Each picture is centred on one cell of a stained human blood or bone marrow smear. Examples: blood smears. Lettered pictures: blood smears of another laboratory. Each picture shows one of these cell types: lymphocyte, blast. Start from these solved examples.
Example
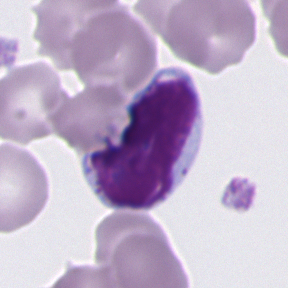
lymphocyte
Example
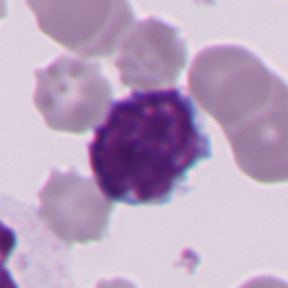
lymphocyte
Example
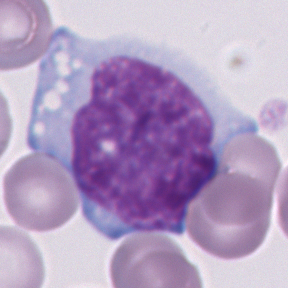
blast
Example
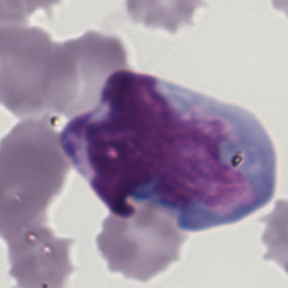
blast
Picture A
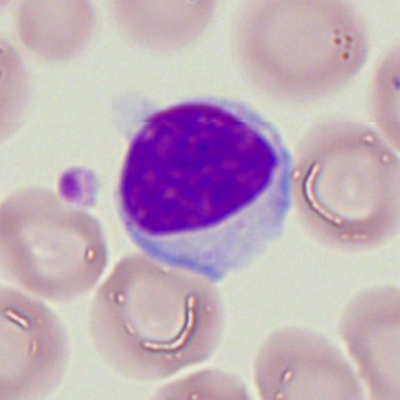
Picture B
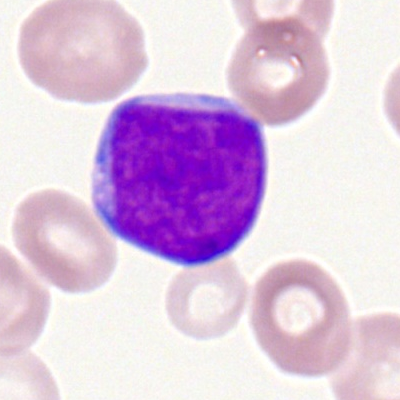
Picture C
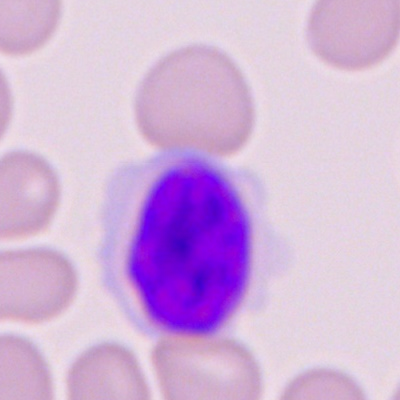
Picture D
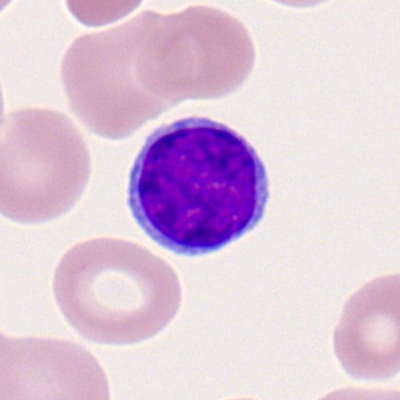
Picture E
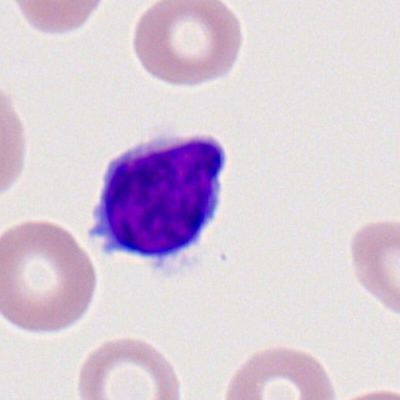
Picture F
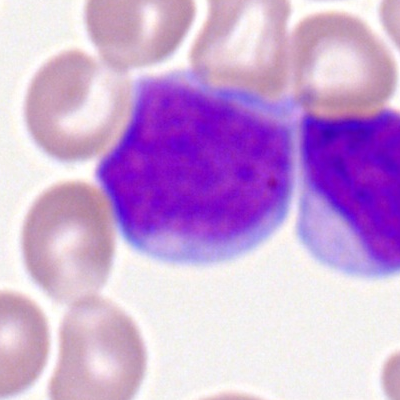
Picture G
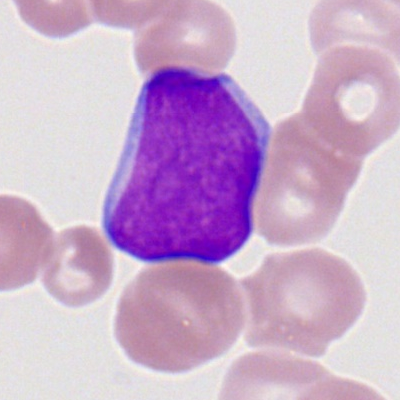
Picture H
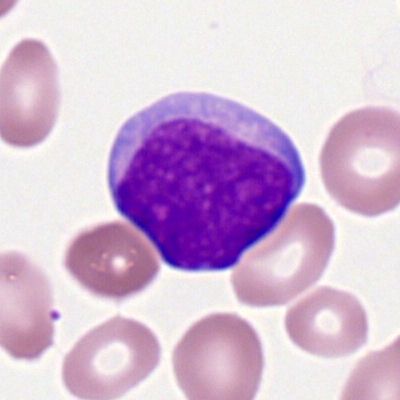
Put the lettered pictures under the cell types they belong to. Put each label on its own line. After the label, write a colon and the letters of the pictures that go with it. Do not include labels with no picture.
lymphocyte: A, C, D, E
blast: B, F, G, H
